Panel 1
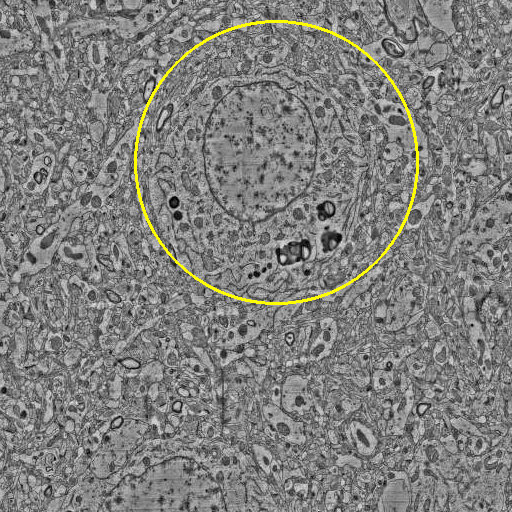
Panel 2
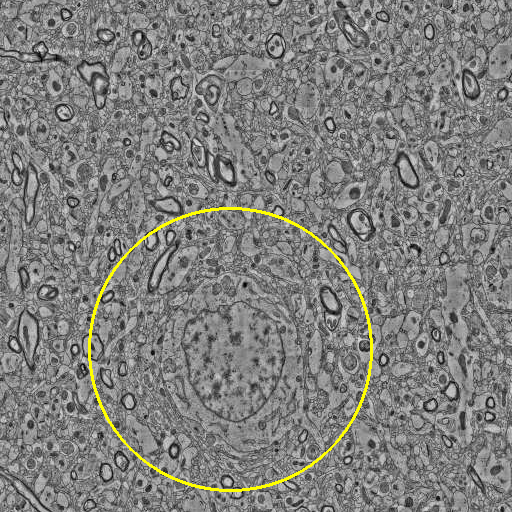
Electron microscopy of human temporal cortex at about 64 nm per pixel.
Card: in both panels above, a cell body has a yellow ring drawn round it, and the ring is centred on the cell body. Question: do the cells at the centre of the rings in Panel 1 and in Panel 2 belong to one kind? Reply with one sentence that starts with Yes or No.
Yes, the cells centred in the rings of Panel 1 and Panel 2 are one kind of cell.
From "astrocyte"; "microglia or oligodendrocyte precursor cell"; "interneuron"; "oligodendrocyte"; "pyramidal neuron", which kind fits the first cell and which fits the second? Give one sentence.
In the first picture and in the second, the ring is centred on a pyramidal neuron.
